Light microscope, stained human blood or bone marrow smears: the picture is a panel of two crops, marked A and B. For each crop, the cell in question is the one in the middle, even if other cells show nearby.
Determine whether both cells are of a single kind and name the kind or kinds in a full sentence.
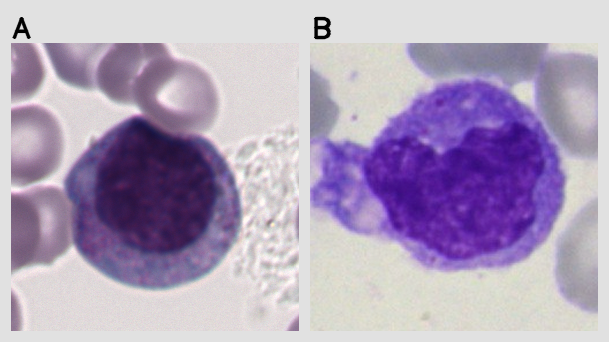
No, crop A shows a promyelocyte, whereas a monocyte is what crop B shows.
